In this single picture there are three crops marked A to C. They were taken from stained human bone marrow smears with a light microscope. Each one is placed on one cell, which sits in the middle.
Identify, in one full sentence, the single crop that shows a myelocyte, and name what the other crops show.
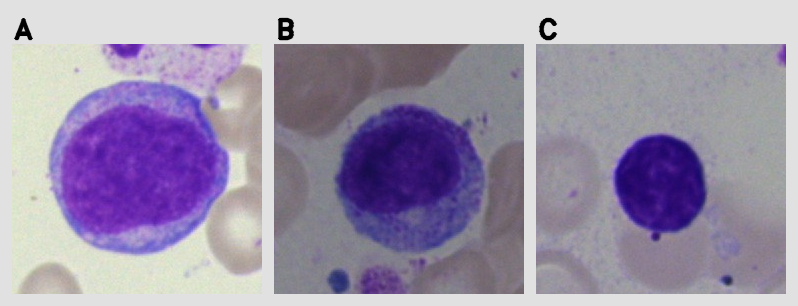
Concerning crop B, the cell shown is a myelocyte, whereas crop A is a blast and crop C is a lymphocyte.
